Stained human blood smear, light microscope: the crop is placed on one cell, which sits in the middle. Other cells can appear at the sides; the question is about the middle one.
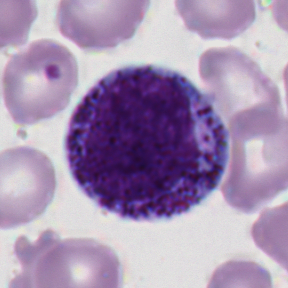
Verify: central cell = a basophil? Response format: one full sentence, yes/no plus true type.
No, the cell in the middle is categorised as a promyelocyte, not a basophil.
